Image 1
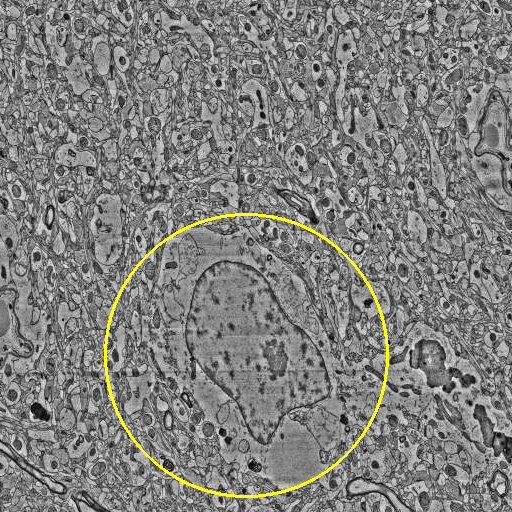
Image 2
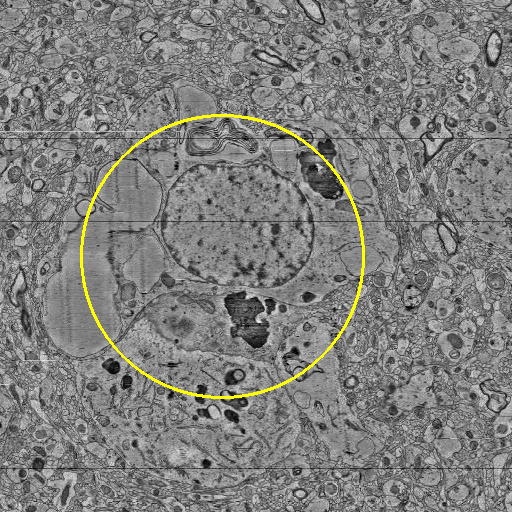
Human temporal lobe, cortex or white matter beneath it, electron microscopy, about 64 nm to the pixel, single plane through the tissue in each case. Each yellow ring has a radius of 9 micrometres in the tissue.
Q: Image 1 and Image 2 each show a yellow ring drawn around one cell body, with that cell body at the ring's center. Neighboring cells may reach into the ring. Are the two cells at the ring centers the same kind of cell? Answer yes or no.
yes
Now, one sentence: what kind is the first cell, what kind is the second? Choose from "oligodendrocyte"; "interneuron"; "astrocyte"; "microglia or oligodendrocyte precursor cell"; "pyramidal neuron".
In each of the two pictures, the ringed cell is an astrocyte.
